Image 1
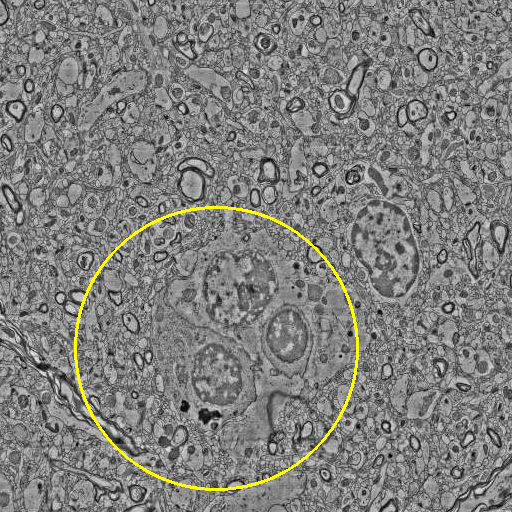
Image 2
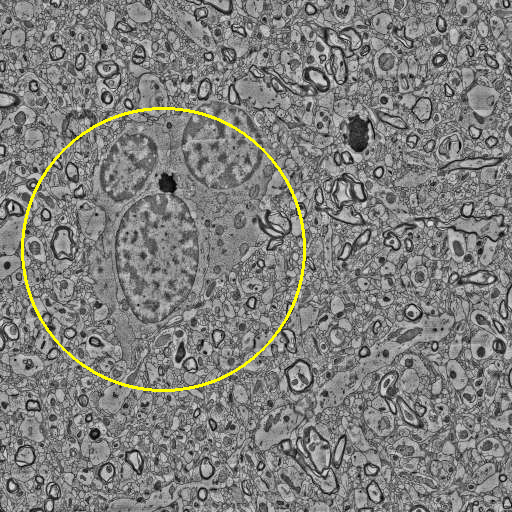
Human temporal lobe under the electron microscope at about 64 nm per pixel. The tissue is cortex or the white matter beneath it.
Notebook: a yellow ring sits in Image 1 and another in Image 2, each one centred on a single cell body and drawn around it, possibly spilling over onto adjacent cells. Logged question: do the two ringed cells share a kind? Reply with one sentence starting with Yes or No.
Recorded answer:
Yes, both centre cells inside the rings of Image 1 and Image 2 share one kind.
